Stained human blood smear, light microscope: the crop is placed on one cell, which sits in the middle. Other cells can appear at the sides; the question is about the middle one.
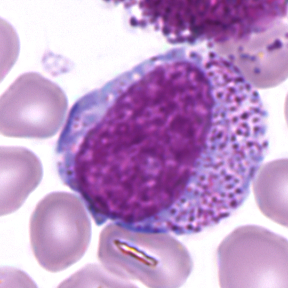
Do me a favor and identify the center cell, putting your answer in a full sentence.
Classified as a promyelocyte is the cell in the middle of this crop.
